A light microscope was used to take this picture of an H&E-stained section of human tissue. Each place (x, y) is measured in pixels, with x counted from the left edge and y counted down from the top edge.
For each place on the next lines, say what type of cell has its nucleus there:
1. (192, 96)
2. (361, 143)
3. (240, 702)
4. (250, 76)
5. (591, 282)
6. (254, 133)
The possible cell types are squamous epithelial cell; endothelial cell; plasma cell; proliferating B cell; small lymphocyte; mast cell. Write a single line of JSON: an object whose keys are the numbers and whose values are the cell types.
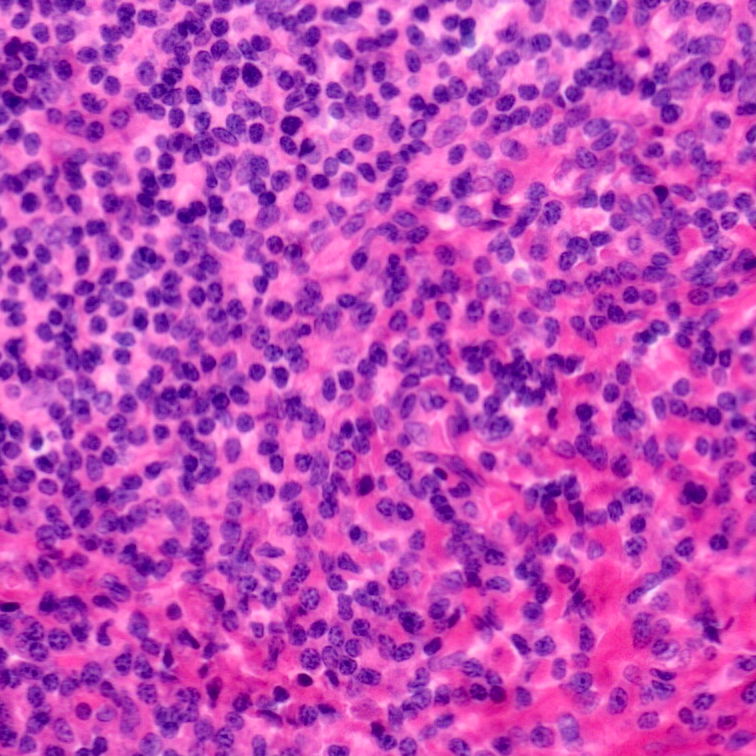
{"1": "small lymphocyte", "2": "small lymphocyte", "3": "plasma cell", "4": "small lymphocyte", "5": "plasma cell", "6": "small lymphocyte"}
